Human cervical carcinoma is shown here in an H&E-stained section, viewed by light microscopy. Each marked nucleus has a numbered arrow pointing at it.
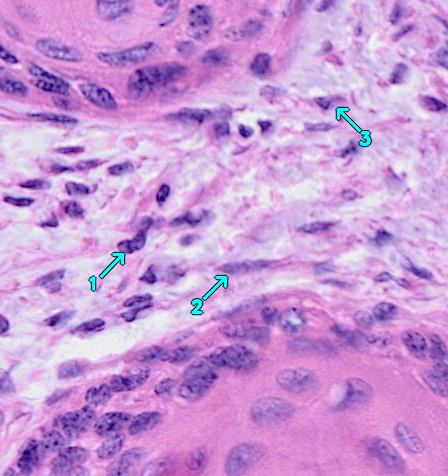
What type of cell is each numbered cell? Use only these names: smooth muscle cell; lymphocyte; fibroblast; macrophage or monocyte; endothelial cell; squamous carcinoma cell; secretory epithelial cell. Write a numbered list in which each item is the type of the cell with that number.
1. lymphocyte
2. fibroblast
3. fibroblast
